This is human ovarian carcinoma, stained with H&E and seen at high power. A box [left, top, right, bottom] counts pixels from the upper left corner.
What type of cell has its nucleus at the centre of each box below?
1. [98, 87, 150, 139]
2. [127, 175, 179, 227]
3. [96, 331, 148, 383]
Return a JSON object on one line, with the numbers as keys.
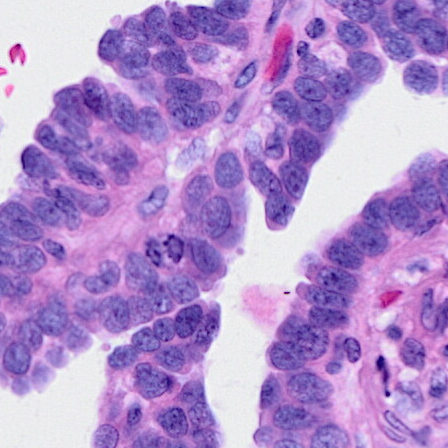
{"1": "carcinoma cell", "2": "fibroblast", "3": "carcinoma cell"}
